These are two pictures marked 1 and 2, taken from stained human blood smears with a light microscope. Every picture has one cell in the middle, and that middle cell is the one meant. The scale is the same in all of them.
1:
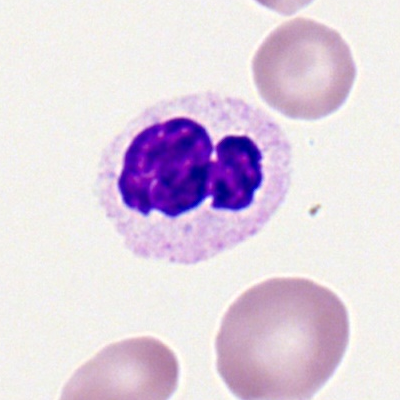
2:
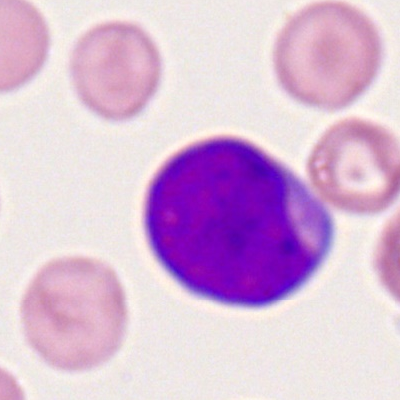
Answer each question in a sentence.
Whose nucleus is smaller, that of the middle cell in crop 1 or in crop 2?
The nucleus in crop 1 is smaller; the one in crop 2 has about 2 times its area.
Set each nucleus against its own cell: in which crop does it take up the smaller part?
The nucleus fills less of the cell in crop 1 than in crop 2.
